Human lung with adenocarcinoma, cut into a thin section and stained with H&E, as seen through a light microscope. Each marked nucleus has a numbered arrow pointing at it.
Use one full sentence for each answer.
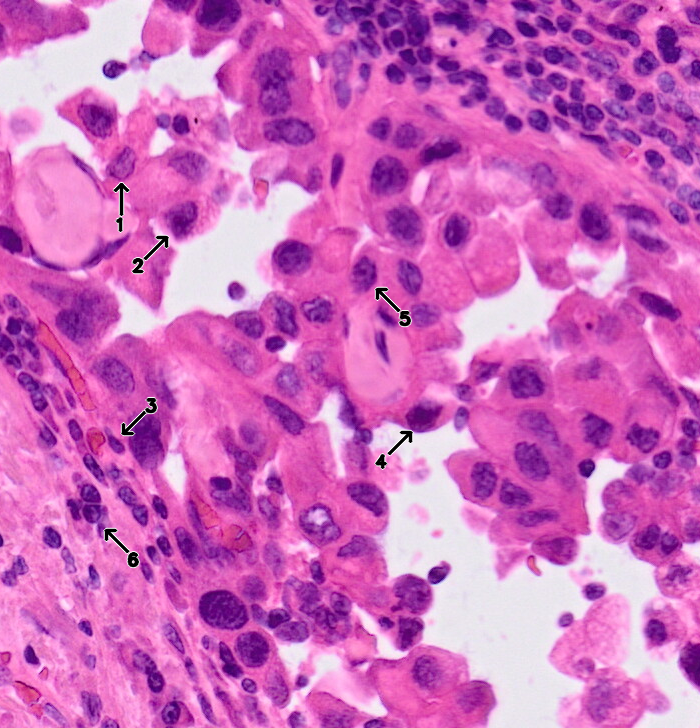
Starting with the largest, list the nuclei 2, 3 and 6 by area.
Going from the biggest nucleus down to the smallest gives 2, 6, 3.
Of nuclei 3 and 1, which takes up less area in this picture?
With nucleus 1 about 3 times its size, nucleus 3 is the smaller of the two.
